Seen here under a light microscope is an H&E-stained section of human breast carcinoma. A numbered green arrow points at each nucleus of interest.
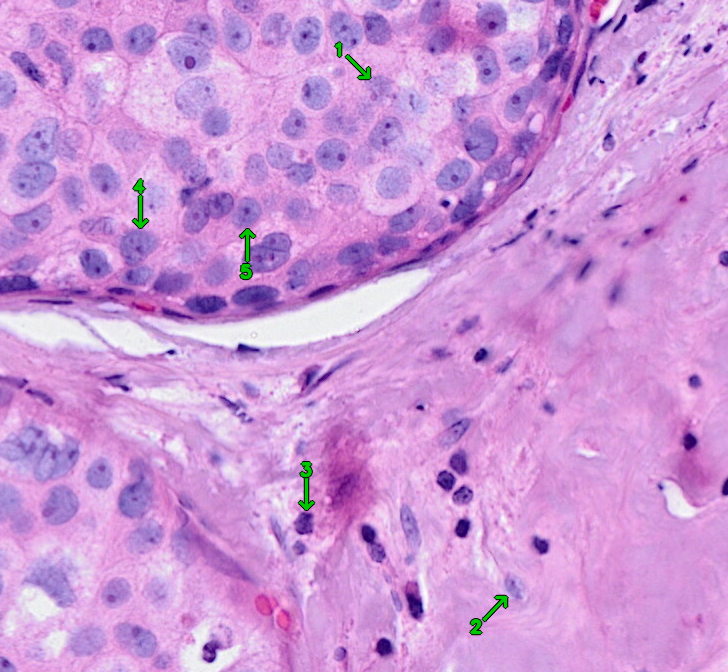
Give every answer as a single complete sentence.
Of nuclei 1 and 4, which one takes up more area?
Number 4 is larger; its area is about 2 times that of number 1.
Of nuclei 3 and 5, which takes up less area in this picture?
The smaller nucleus is 3, and 5 covers roughly 2 times its area.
